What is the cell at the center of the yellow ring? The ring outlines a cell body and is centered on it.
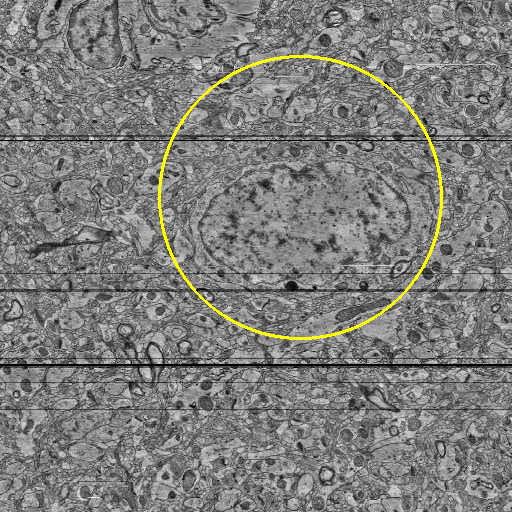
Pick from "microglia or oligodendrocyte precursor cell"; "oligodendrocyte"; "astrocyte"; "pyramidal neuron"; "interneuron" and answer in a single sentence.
The yellow ring is centered on an interneuron.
